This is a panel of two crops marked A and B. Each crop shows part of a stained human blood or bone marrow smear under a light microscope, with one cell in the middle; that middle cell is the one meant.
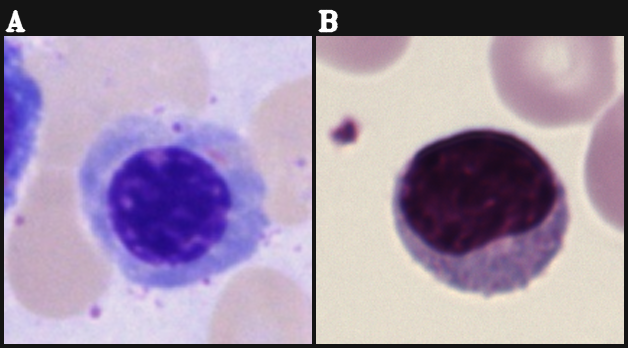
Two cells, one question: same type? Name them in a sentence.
No, crop A shows an erythroblast, and it is crop B that shows a lymphocyte.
